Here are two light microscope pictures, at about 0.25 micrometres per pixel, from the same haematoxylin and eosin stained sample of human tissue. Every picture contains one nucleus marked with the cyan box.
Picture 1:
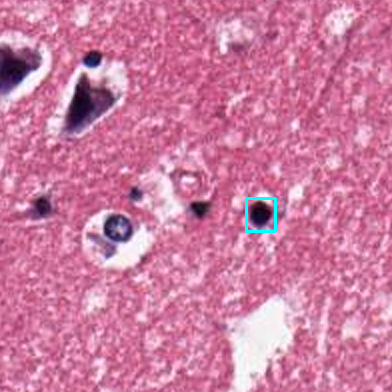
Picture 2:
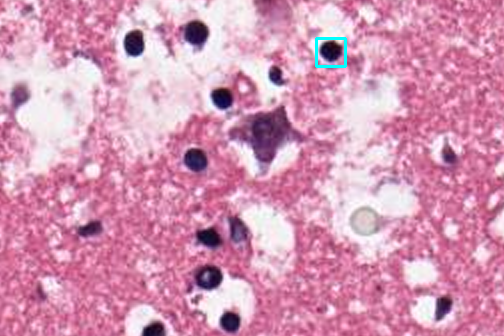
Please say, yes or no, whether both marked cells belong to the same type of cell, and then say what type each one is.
Yes, both are oligodendrocytes.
